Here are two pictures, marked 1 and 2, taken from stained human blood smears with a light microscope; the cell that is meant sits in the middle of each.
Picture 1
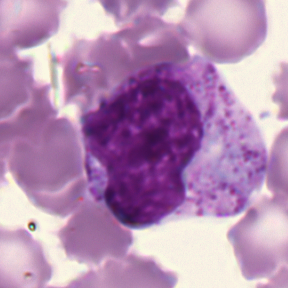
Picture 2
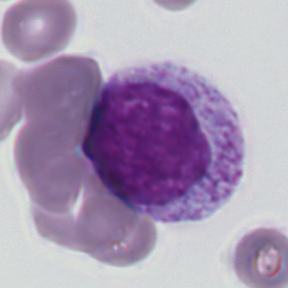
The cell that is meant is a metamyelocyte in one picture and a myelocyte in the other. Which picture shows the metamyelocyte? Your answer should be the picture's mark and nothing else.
1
